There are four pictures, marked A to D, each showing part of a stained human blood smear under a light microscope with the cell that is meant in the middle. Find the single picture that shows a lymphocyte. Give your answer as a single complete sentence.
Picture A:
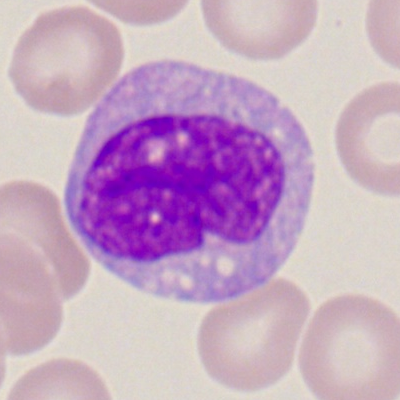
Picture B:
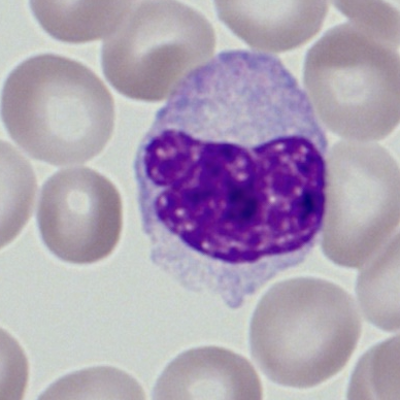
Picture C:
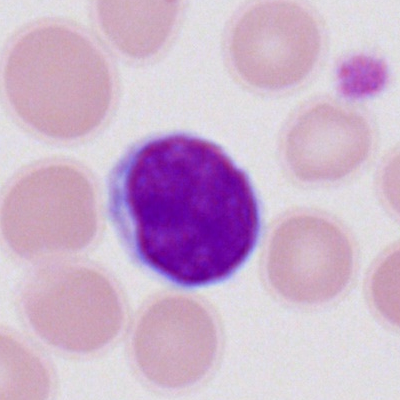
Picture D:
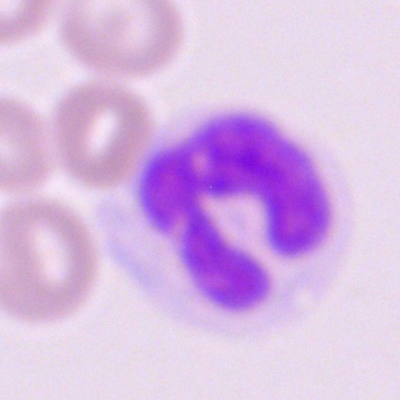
The picture with the lymphocyte is C.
